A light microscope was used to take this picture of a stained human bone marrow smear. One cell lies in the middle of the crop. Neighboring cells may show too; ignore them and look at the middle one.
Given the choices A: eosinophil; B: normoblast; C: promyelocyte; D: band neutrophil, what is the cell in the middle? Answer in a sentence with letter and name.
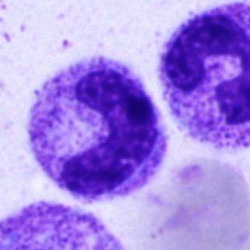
Option D is correct, naming the cell in the middle as a band neutrophil.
